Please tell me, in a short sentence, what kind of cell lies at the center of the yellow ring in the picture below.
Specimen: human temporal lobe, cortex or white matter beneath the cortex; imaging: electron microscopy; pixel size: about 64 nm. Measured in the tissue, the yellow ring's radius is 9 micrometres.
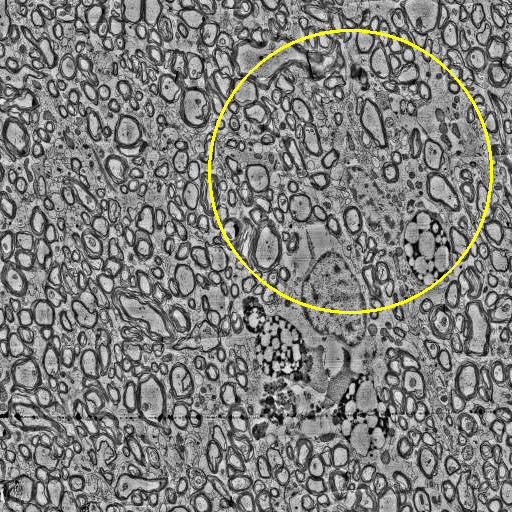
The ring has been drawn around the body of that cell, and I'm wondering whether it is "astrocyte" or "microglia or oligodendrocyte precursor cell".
The cell at the center of the ring is an astrocyte.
